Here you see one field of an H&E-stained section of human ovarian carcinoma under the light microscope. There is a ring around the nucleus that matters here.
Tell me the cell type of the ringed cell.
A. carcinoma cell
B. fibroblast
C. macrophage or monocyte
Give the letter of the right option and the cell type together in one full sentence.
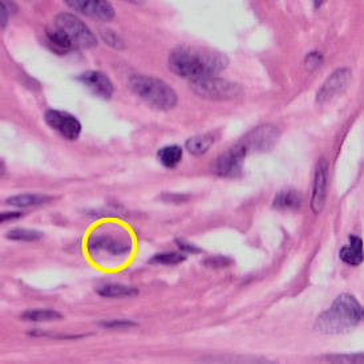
What option B states, that the ringed cell is a fibroblast, is correct.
